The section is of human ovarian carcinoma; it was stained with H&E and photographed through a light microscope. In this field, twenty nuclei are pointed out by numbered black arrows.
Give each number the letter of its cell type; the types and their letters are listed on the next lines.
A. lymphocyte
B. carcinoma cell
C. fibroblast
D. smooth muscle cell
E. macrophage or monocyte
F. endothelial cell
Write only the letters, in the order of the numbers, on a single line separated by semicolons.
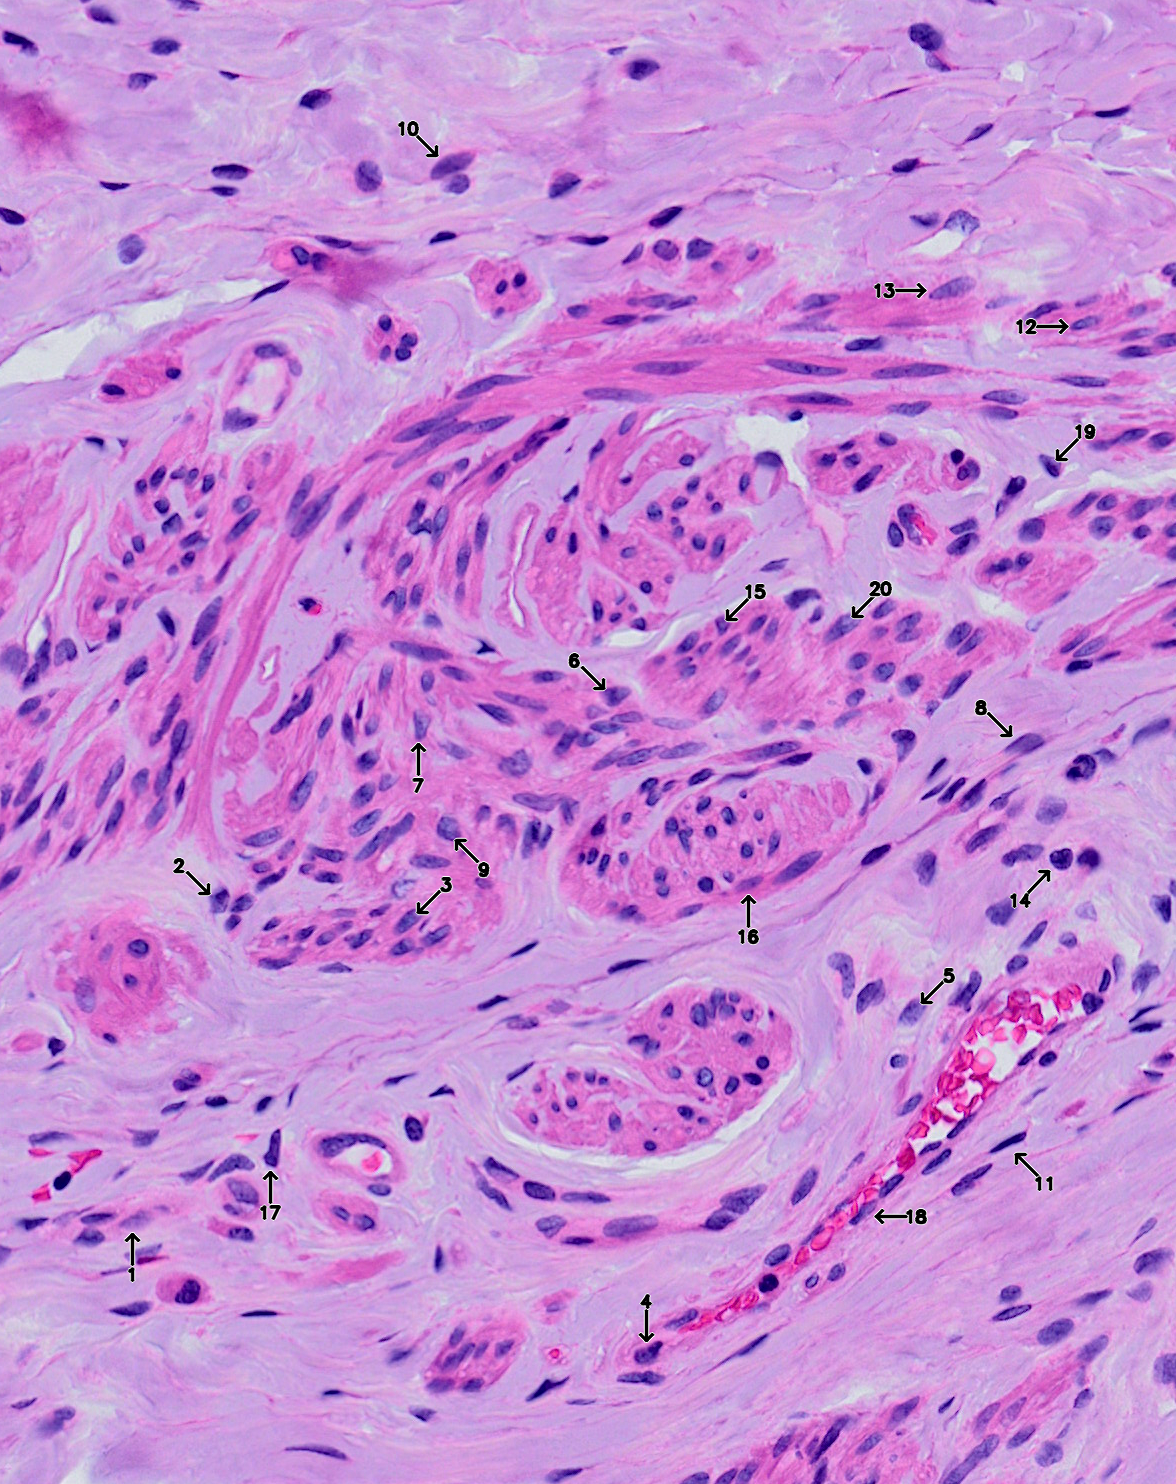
F; C; D; F; C; D; D; C; D; C; C; D; D; A; D; D; C; F; C; D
